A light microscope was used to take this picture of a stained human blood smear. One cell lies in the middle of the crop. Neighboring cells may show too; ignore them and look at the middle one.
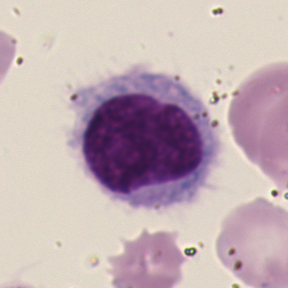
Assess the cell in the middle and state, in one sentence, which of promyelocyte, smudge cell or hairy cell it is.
Classification of the middle cell gives a hairy cell.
